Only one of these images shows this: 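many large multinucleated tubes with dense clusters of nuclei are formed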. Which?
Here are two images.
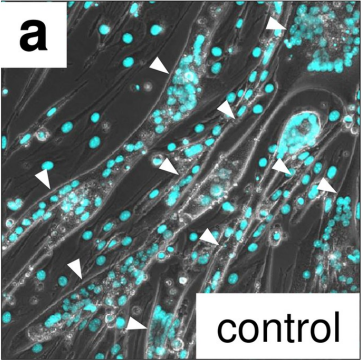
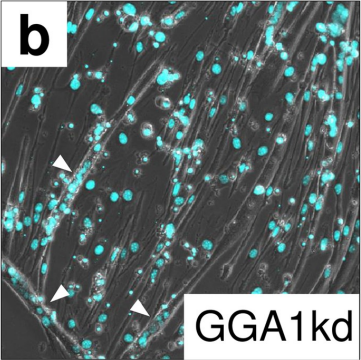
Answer: The first image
